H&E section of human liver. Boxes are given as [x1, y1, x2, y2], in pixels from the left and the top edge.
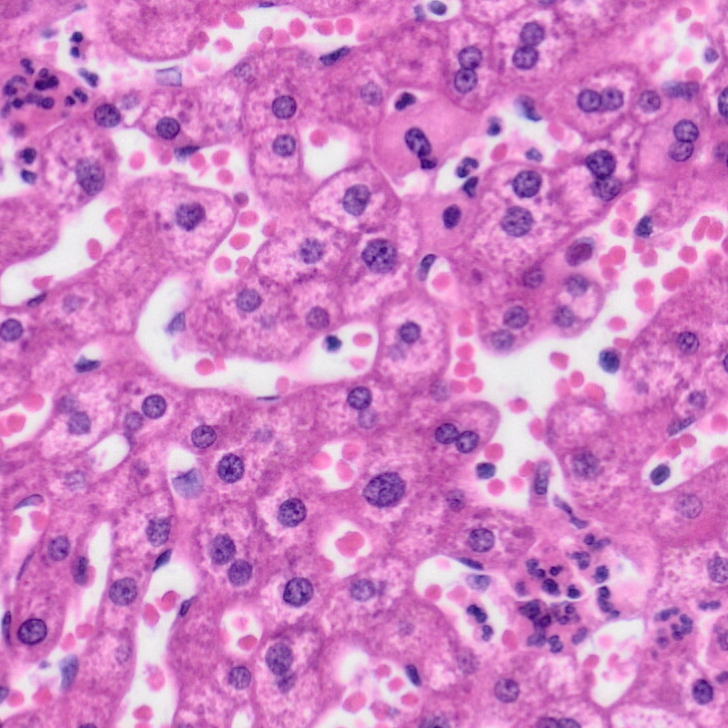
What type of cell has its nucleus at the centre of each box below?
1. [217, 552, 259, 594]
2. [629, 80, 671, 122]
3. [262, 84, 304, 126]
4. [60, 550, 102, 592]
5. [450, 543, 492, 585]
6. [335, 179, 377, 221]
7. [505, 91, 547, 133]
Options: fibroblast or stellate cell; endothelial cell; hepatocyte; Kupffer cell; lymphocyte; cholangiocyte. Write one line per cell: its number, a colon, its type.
1: hepatocyte
2: hepatocyte
3: hepatocyte
4: Kupffer cell
5: fibroblast or stellate cell
6: hepatocyte
7: endothelial cell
